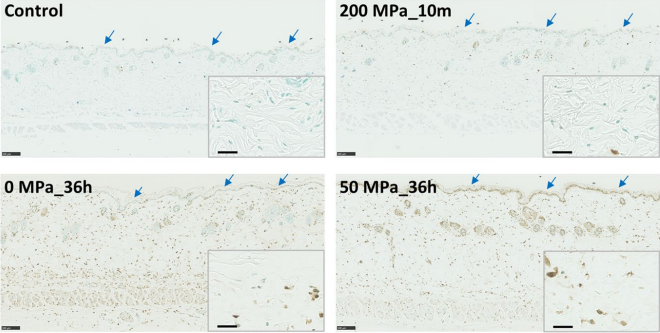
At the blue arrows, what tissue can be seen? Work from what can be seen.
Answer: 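The arrows point to the thin outermost layer at the top of each section.
Hence: epidermis layer.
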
